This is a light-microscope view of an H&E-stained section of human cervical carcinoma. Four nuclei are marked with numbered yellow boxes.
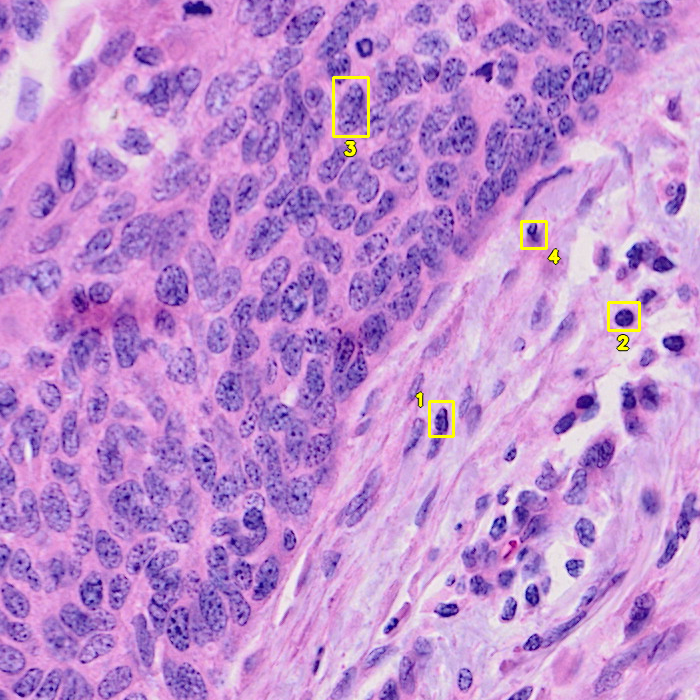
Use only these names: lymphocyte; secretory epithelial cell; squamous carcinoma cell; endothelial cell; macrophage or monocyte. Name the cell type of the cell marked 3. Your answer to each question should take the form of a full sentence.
Belonging to a squamous carcinoma cell is the nucleus that carries the number 3.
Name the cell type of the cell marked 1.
The cell indicated by marker 1 is a lymphocyte in this section.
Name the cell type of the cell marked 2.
The cell tagged with 2 in this tissue section is a lymphocyte.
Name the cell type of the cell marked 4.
The cell pointed out as number 4 is a lymphocyte.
